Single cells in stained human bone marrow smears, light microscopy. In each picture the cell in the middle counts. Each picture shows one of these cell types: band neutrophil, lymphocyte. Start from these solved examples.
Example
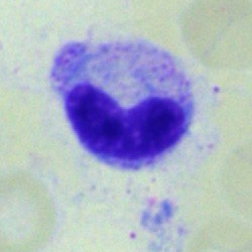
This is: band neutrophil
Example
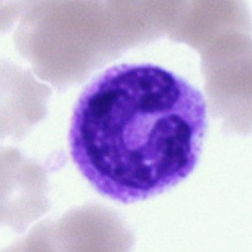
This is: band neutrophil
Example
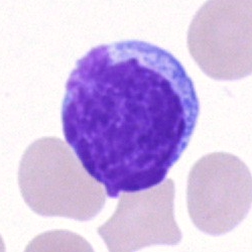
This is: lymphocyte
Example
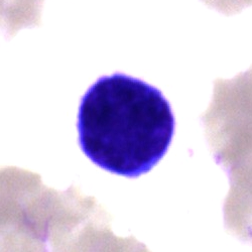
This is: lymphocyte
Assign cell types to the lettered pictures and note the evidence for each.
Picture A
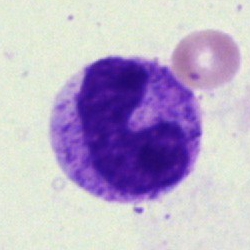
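band neutrophil. Evidence: The nucleus is deeply indented into a C shape whose notch opens to the right.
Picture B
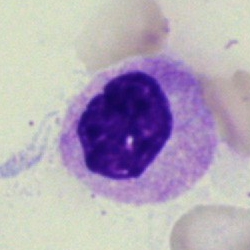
band neutrophil. Evidence: The cytoplasm holds fine pinkish-purple granules.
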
